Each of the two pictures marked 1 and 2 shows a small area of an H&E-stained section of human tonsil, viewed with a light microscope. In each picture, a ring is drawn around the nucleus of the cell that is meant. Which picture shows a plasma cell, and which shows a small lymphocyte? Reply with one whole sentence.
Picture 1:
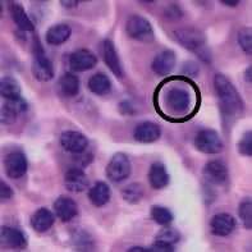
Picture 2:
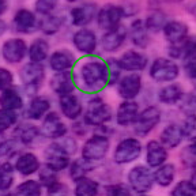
Picture 2 shows a small lymphocyte, while picture 1 shows a plasma cell.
